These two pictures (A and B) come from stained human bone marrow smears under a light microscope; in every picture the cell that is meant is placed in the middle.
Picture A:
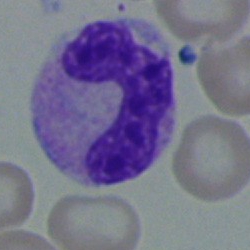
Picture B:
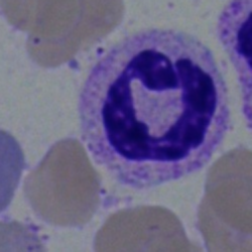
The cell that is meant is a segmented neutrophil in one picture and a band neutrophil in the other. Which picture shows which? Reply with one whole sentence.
Picture B shows a segmented neutrophil, while picture A shows a band neutrophil.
